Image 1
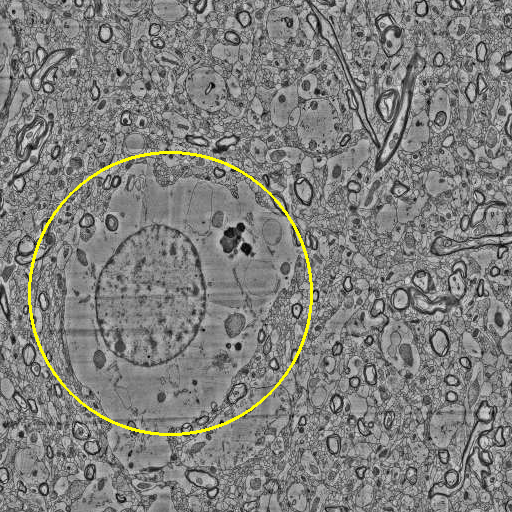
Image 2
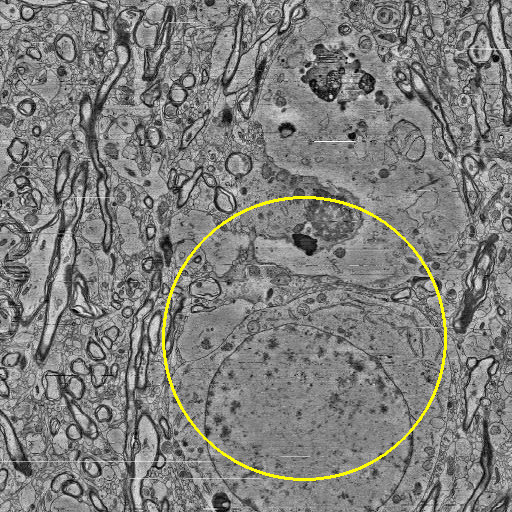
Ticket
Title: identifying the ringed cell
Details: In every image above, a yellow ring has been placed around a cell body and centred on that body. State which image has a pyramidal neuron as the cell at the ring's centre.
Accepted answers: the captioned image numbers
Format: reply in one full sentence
The ring in image 2 is centred on the cell in question.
